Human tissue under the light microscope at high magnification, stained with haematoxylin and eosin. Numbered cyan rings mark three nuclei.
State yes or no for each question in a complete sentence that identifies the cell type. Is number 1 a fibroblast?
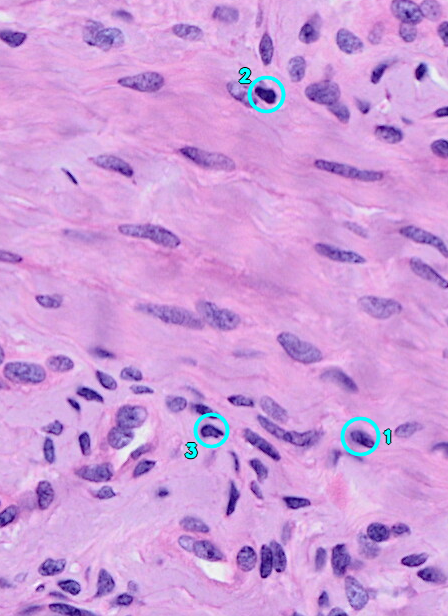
Yes, the cell with number 1 is a fibroblast.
